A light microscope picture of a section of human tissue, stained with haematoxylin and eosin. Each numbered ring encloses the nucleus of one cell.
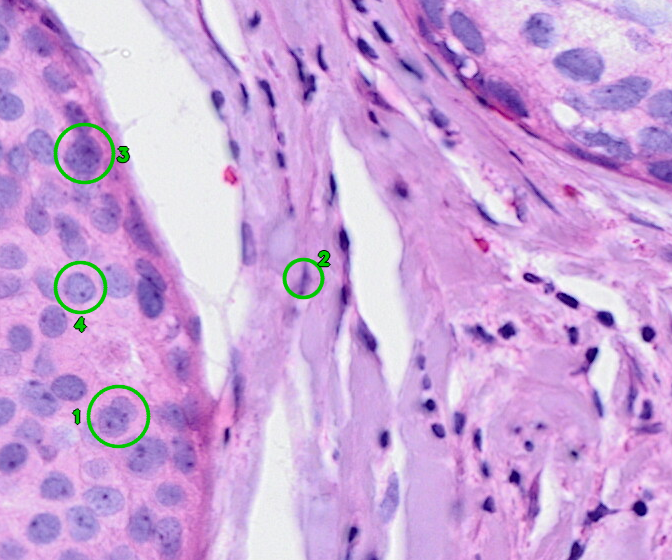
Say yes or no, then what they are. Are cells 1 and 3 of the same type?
Yes, cells 1 and 3 are both recognised as carcinoma cells.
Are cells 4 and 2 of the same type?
No, classify cell 4 as a carcinoma cell and cell 2 as a fibroblast.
